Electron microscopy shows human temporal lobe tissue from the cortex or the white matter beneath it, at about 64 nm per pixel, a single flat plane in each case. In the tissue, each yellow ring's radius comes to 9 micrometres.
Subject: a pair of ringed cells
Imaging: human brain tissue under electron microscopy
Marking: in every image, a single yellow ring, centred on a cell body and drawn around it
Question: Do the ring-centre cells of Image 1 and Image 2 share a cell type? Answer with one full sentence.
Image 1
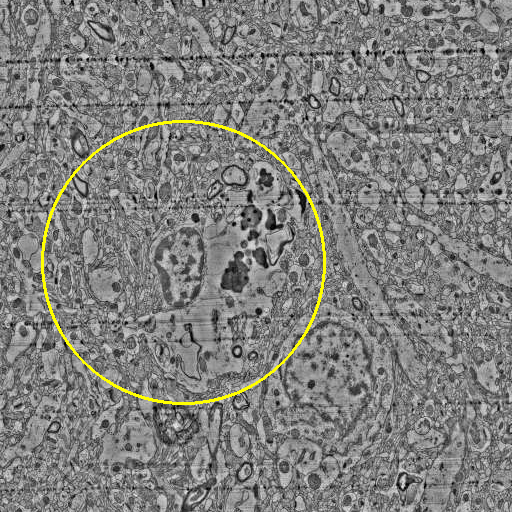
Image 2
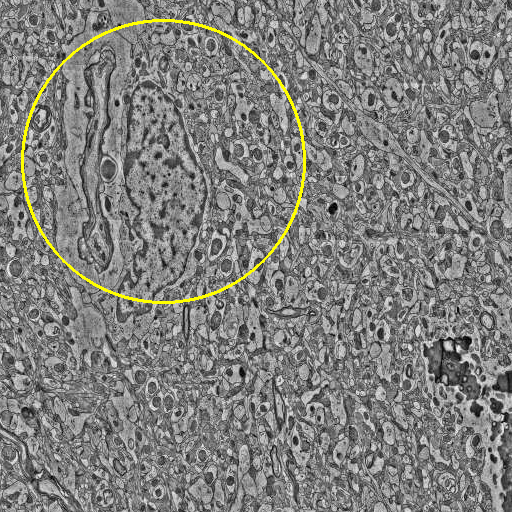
Yes, at each ring's centre in the images sits a cell of one common type.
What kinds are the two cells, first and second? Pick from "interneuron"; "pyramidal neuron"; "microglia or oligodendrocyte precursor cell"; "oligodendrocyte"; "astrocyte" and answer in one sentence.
The second cell is a microglial cell or oligodendrocyte precursor cell, just as the first is.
